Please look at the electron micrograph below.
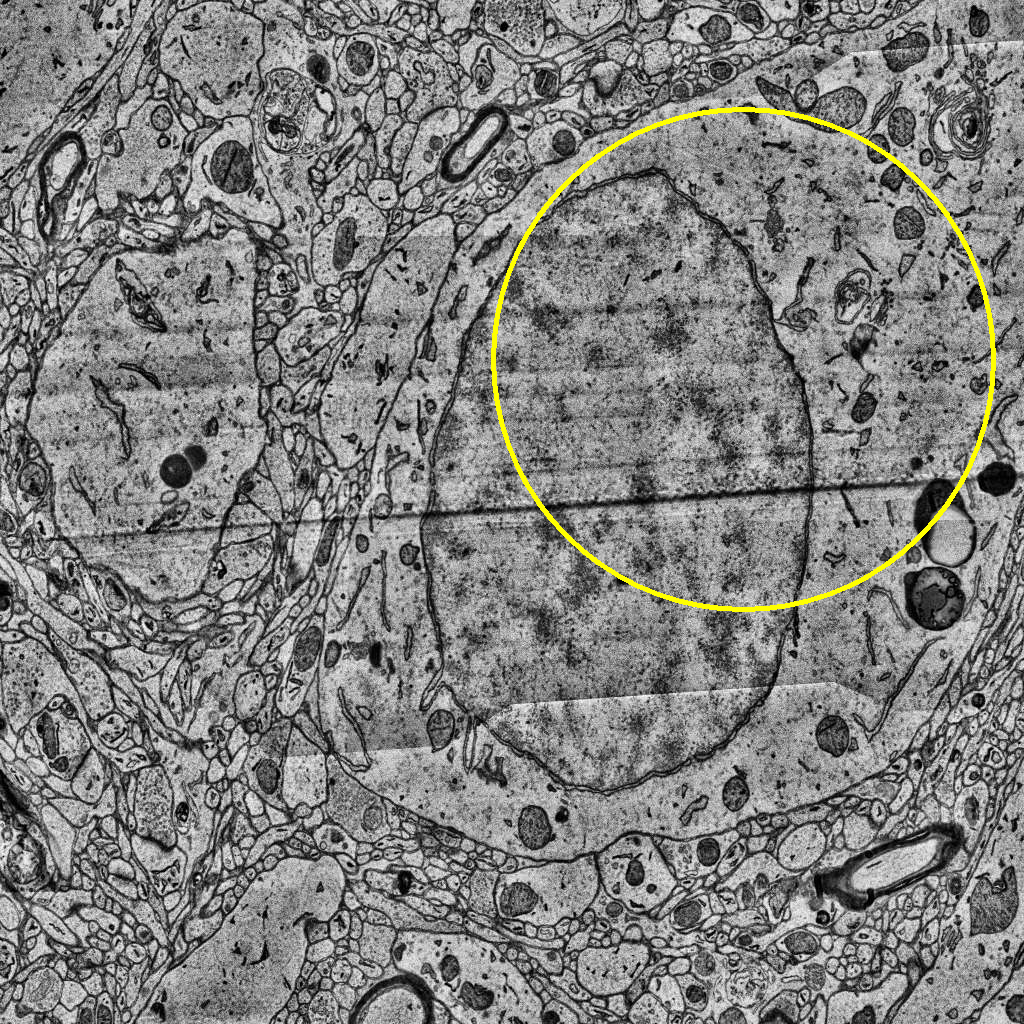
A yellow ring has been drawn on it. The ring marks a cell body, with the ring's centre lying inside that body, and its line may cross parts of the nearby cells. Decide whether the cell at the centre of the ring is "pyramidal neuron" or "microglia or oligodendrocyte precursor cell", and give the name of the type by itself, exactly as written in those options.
pyramidal neuron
